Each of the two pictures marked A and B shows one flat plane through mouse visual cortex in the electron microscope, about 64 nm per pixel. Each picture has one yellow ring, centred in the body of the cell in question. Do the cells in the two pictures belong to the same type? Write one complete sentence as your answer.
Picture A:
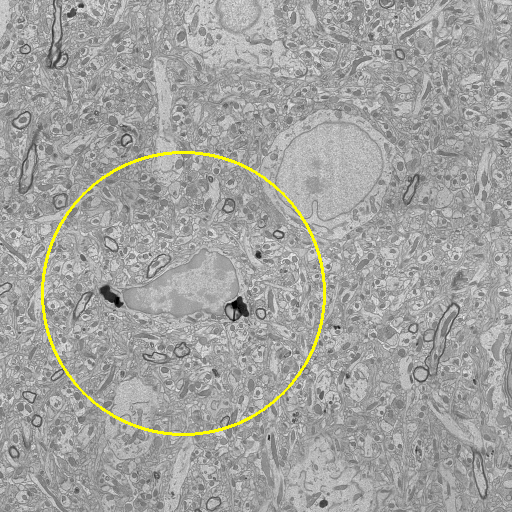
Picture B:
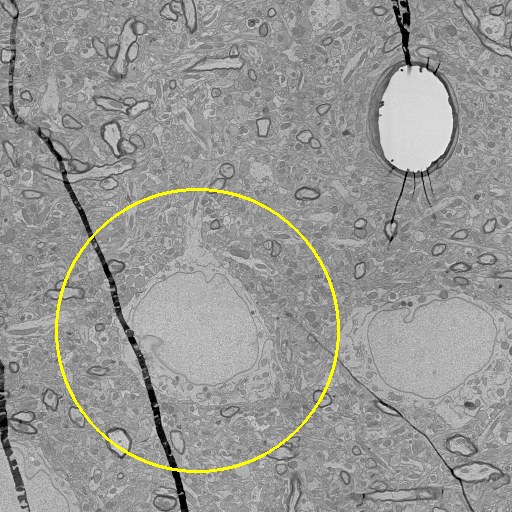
No, they differ: the cell is a microglial cell in picture A and an excitatory neuron in picture B.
